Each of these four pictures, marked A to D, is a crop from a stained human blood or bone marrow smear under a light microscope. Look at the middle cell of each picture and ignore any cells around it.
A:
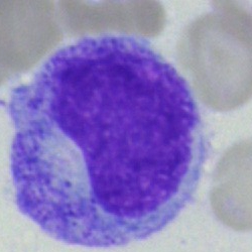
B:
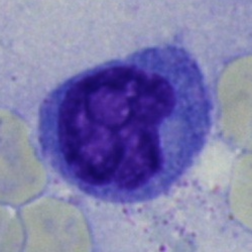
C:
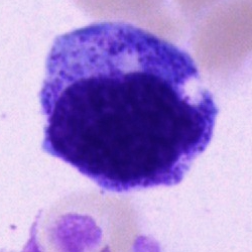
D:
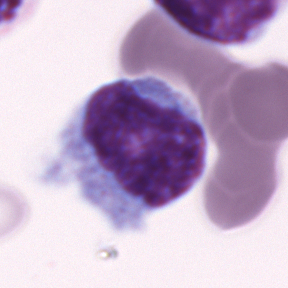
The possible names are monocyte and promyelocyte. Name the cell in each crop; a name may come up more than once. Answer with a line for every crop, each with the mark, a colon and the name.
A: promyelocyte
B: monocyte
C: promyelocyte
D: monocyte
